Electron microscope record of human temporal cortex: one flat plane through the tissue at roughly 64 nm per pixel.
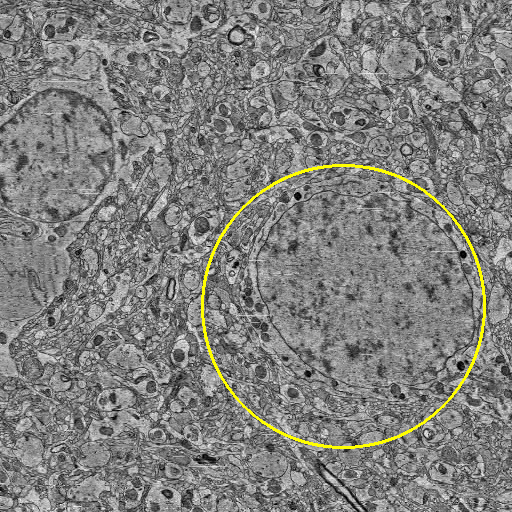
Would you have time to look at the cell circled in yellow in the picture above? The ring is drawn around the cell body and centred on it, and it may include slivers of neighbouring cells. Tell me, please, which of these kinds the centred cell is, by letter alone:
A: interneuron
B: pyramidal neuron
B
